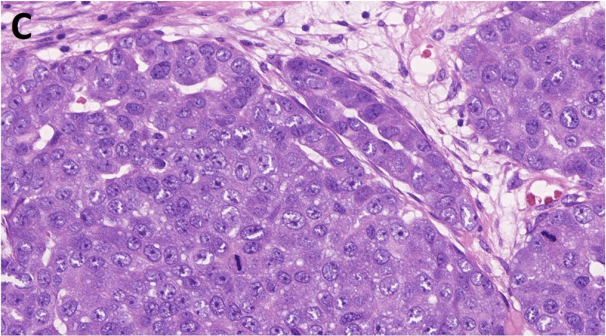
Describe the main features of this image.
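These are sheets of tumor cells packed closely together in nests, with a strip of pale, loose stroma holding small blood vessels running between them. The cells have ample pink-purple cytoplasm and large, round to oval, vesicular nuclei that vary in size and show prominent nucleoli. A few small clear spaces lie within the cell nests.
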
